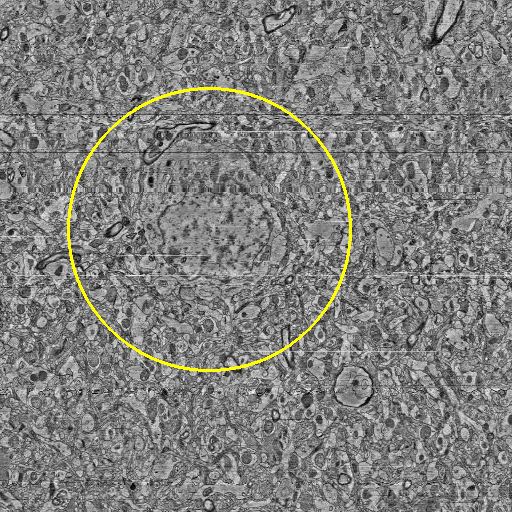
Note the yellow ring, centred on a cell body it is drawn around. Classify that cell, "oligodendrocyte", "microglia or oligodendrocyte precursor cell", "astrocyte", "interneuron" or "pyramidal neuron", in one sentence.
The cell the ring is centred on is an interneuron.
